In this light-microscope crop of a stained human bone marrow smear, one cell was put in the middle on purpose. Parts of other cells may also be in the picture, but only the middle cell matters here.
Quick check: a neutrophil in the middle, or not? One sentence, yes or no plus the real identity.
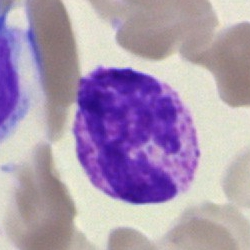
No, the central cell is not a neutrophil, being instead a basophil.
